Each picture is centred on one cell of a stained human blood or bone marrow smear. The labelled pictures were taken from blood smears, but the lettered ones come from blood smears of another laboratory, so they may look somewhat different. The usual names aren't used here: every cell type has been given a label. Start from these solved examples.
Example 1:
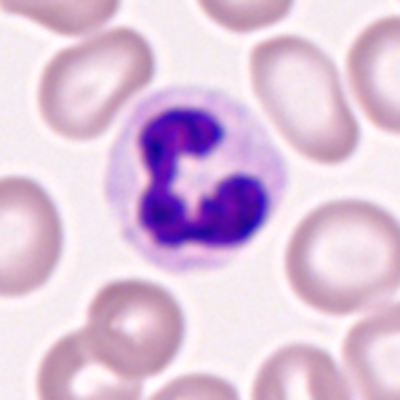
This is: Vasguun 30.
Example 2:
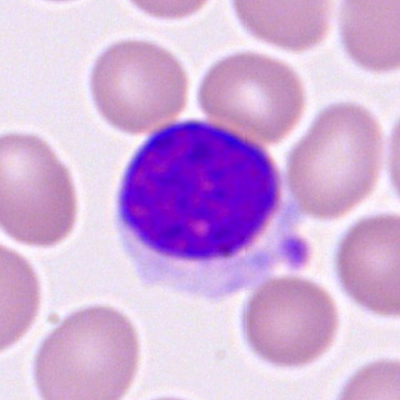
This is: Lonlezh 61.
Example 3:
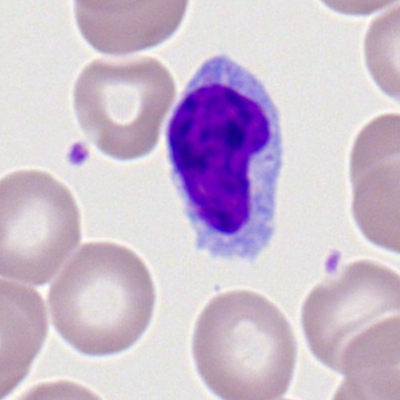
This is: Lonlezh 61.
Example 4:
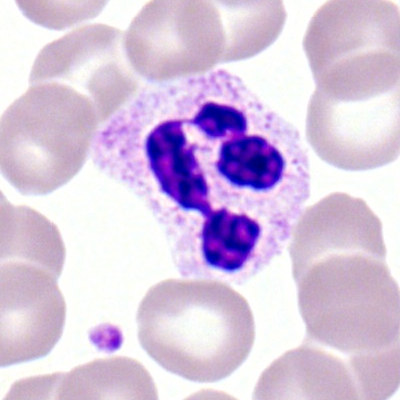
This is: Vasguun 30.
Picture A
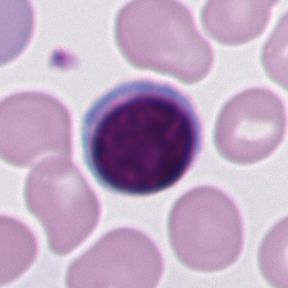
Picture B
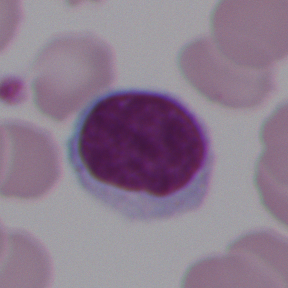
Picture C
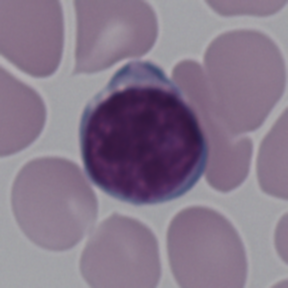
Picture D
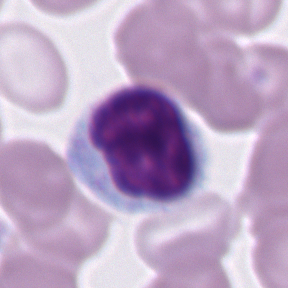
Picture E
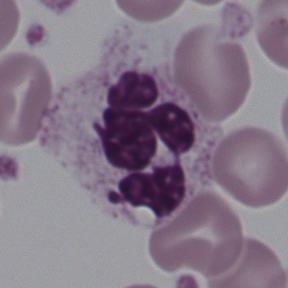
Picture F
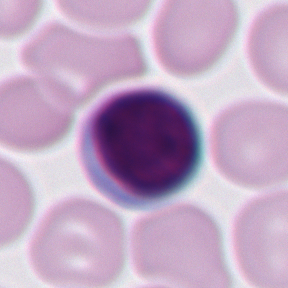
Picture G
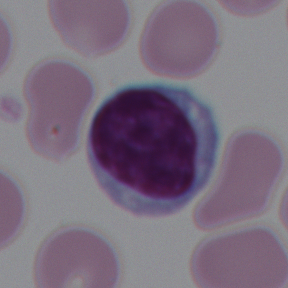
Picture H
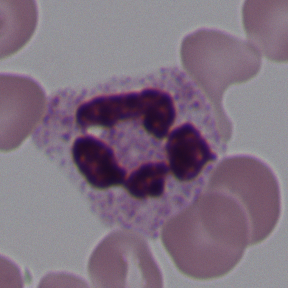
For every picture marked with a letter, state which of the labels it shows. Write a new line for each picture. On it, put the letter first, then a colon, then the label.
A: Lonlezh 61.
B: Lonlezh 61.
C: Lonlezh 61.
D: Lonlezh 61.
E: Vasguun 30.
F: Lonlezh 61.
G: Lonlezh 61.
H: Vasguun 30.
